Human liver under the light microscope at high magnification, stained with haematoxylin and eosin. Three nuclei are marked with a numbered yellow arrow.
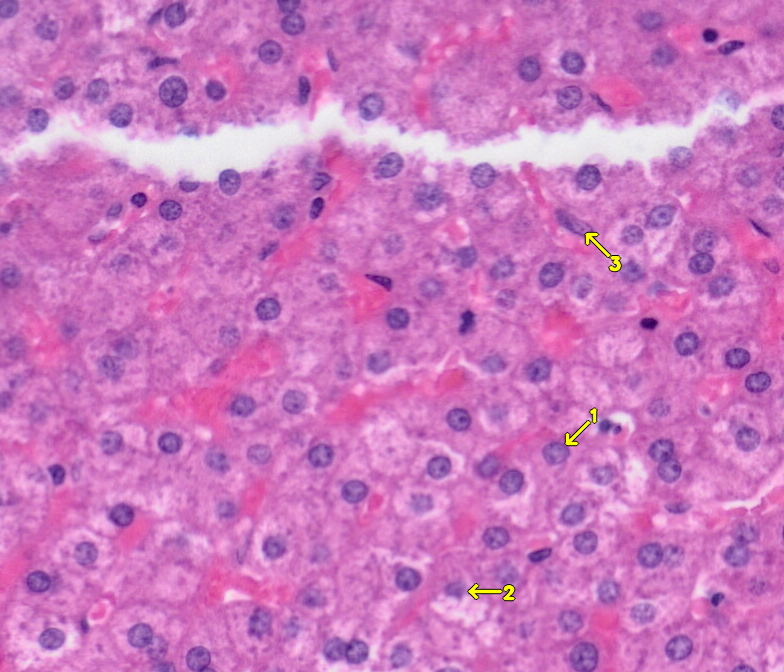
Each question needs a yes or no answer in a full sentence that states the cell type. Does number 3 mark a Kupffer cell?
Yes, the cell labelled with number 3 is a Kupffer cell.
